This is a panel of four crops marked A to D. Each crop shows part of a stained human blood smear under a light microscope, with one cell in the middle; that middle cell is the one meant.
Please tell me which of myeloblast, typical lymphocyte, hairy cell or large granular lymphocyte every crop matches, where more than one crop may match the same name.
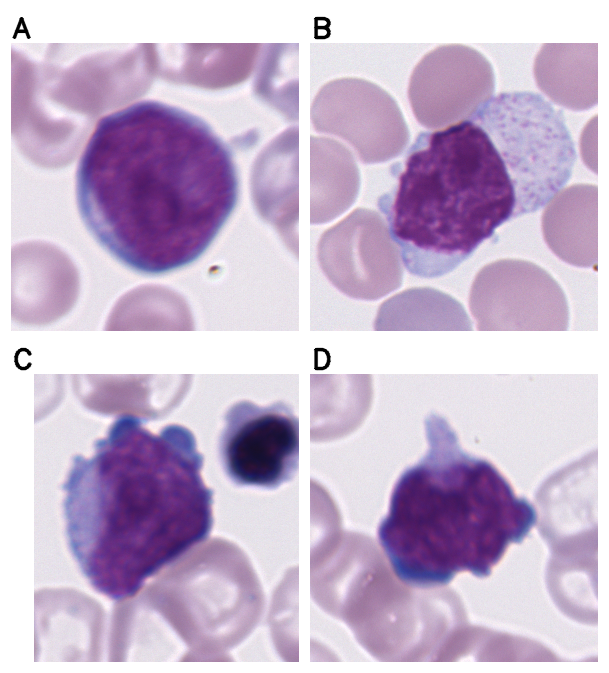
A: myeloblast
B: large granular lymphocyte
C: myeloblast
D: myeloblast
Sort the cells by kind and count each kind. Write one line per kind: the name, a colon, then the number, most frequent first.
myeloblast: 3
large granular lymphocyte: 1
